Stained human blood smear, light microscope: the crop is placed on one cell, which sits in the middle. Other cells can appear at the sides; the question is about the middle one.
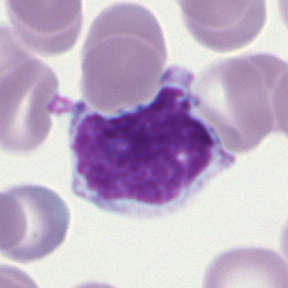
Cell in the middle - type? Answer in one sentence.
The cell at the centre of the field is a typical lymphocyte.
